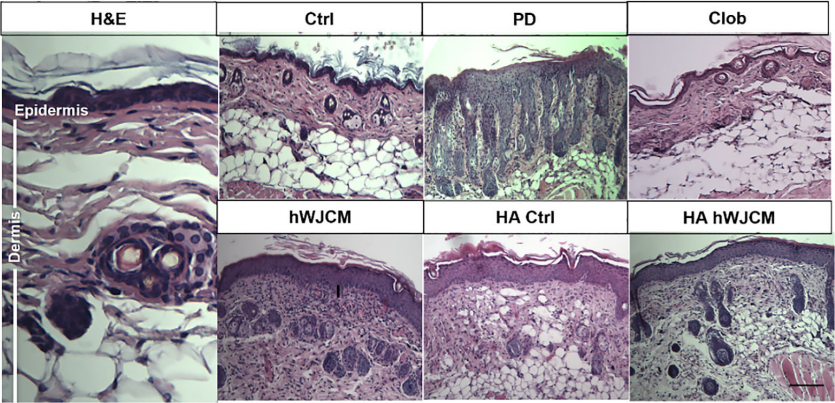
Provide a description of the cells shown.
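These are sections of skin stained pink and purple. In the enlarged view, the epidermis is only a few nuclei thick, with flaky layers above it. Beneath lies loose pink connective tissue with scattered elongated nuclei and a cross-cut follicle. One is strikingly different: its epidermis is greatly thickened and sends long, finger-like ridges down into the dermis, and scaly material lies on top. Others show an epidermis of intermediate thickness over a cellular dermis crowded with follicles.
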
